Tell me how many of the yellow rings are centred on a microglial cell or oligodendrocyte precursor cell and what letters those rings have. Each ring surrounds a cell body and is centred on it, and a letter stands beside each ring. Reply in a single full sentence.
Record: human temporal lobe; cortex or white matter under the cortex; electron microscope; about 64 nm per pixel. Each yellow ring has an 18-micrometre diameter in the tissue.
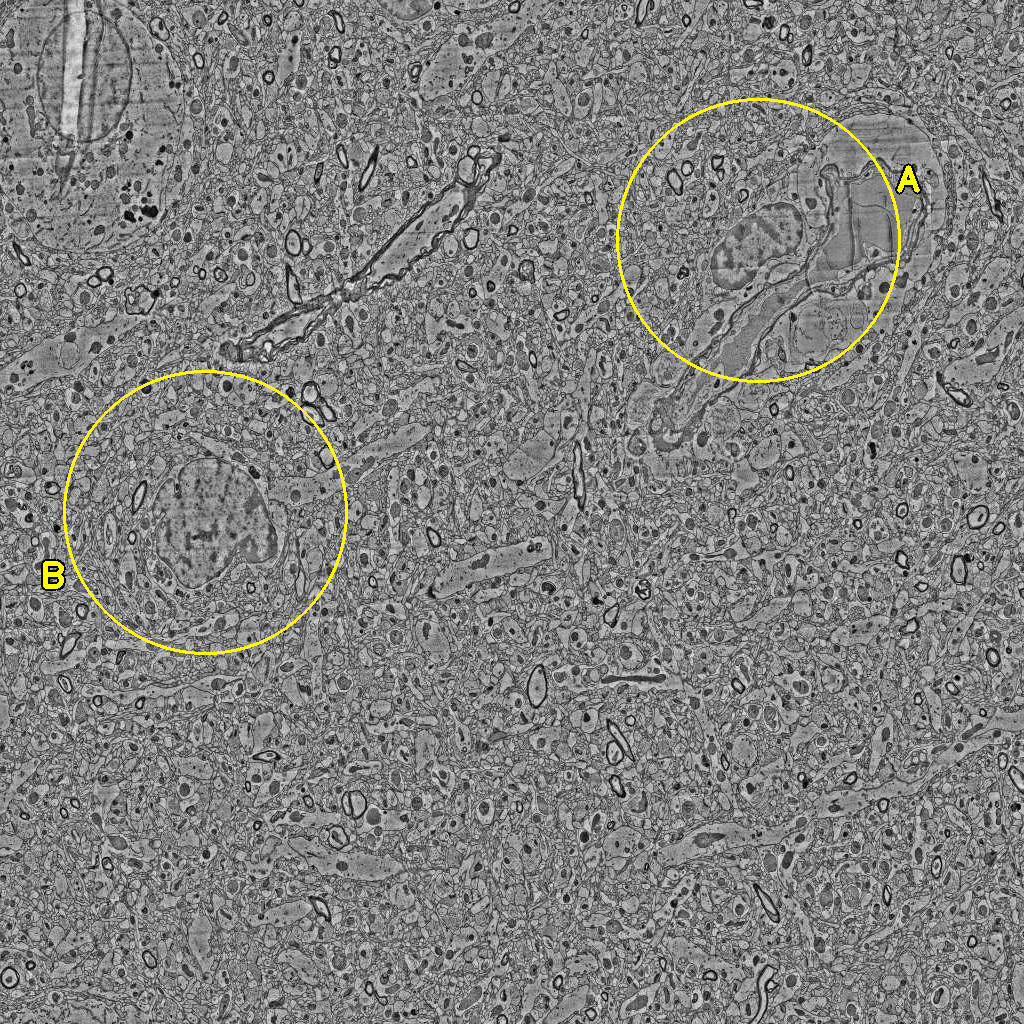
For the rings with the letters A and B, of which there are two, the centre of each is a microglial cell or oligodendrocyte precursor cell.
